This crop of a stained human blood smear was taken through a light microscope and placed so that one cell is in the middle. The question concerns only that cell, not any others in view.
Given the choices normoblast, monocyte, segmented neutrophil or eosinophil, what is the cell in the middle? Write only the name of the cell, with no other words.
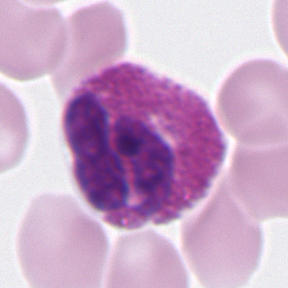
eosinophil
